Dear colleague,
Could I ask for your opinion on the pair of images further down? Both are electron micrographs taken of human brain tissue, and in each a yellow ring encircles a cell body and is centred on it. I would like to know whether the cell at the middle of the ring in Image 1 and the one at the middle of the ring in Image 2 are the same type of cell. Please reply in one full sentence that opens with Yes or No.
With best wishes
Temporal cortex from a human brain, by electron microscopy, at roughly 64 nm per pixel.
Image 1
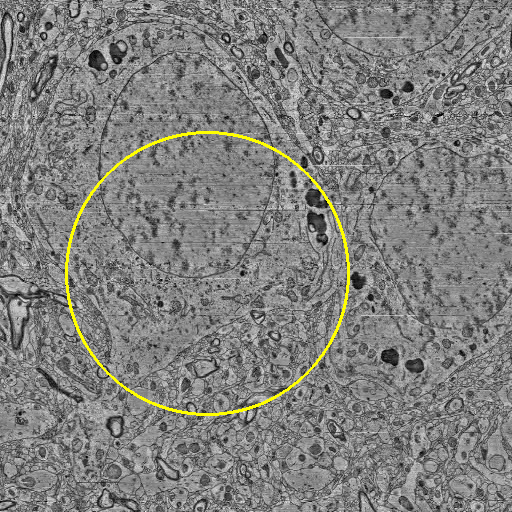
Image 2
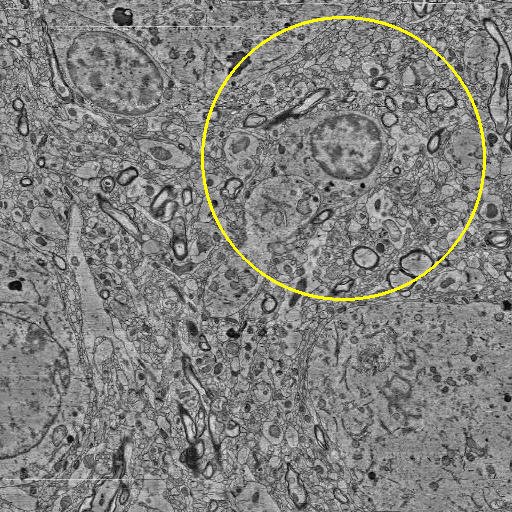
No, the cells at the ring centres in Image 1 and Image 2 are of two types.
